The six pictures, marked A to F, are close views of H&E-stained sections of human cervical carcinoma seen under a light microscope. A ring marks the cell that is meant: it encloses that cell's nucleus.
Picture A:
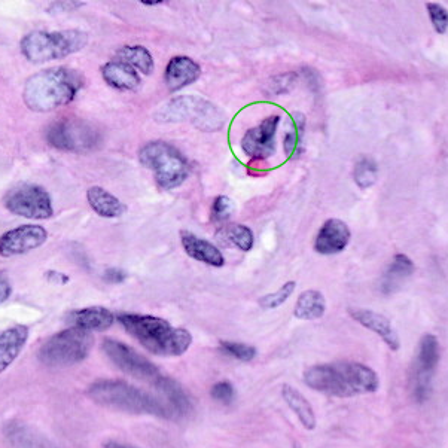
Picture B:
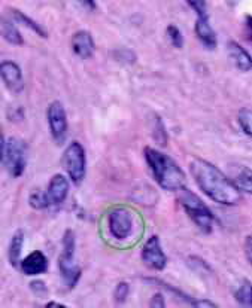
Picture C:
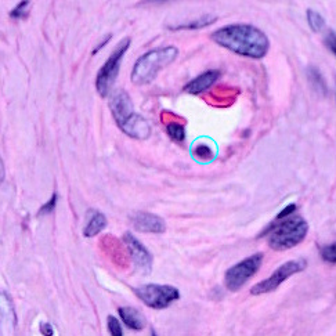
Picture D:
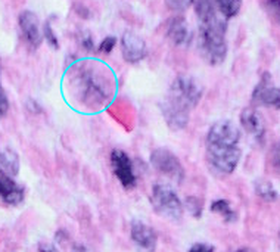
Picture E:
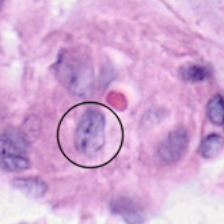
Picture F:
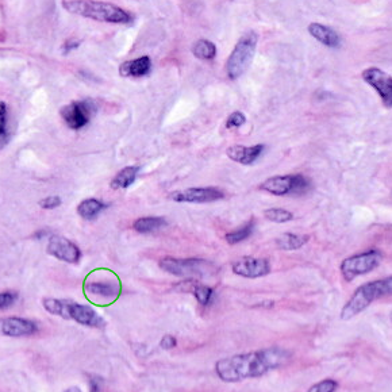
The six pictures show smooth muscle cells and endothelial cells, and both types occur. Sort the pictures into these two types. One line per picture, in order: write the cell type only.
endothelial cell
smooth muscle cell
endothelial cell
endothelial cell
endothelial cell
smooth muscle cell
